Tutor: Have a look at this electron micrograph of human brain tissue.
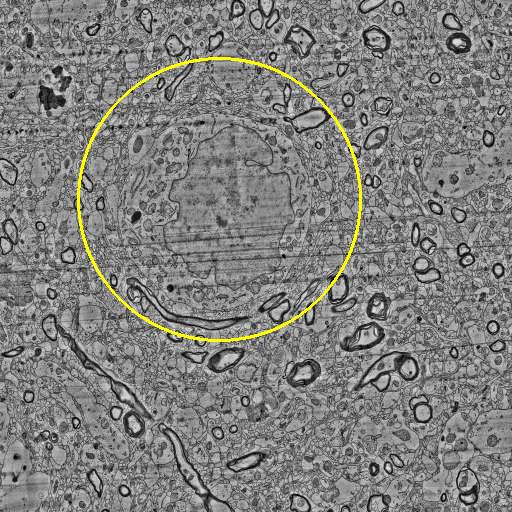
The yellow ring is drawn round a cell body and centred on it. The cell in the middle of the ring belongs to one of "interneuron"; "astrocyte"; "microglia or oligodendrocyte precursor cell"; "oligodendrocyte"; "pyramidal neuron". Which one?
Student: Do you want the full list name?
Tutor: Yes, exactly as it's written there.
interneuron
